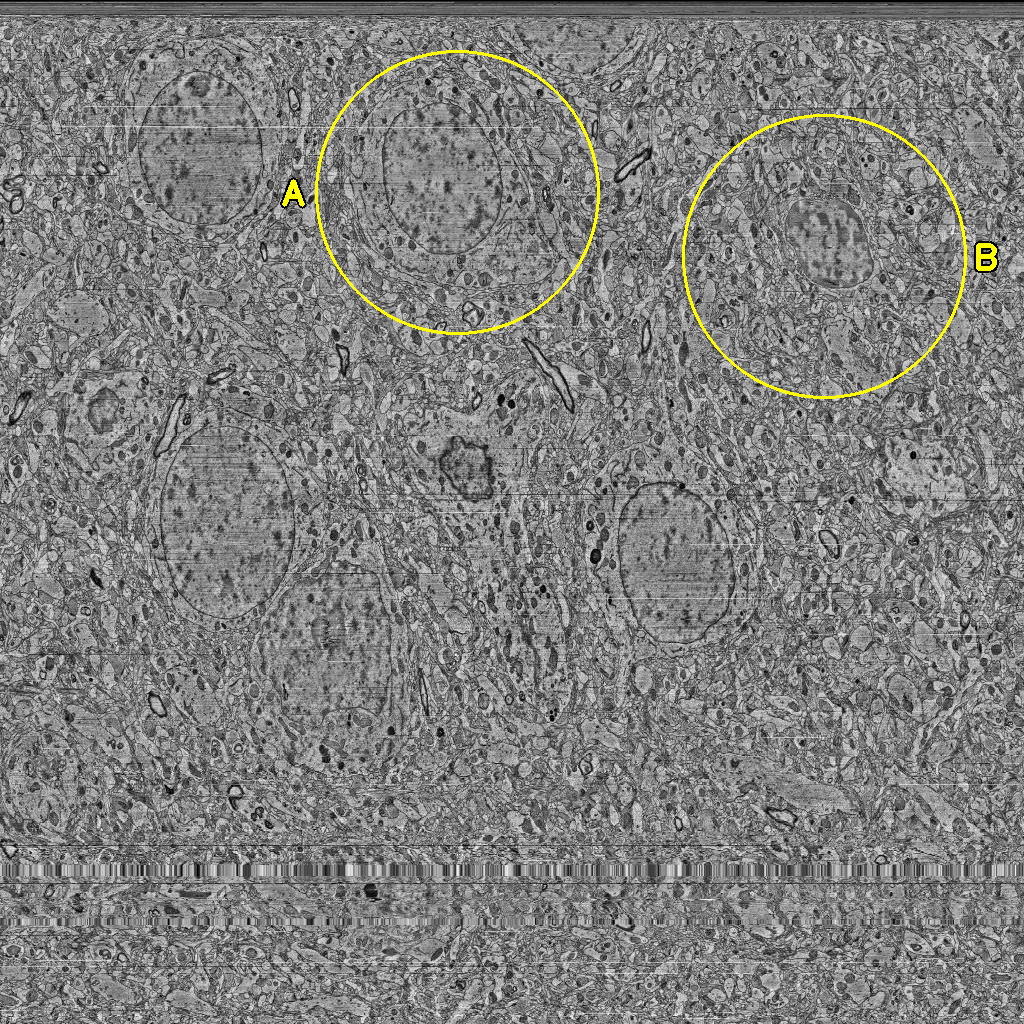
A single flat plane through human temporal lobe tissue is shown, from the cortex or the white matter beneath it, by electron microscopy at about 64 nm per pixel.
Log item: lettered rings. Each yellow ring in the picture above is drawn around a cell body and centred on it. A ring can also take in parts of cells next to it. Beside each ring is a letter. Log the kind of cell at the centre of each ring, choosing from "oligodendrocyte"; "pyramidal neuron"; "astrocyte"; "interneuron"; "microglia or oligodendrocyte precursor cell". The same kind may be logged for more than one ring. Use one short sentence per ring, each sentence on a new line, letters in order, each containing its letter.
Within ring A, the centre is taken by a pyramidal neuron.
Within ring B, the centre is taken by a microglial cell or oligodendrocyte precursor cell.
